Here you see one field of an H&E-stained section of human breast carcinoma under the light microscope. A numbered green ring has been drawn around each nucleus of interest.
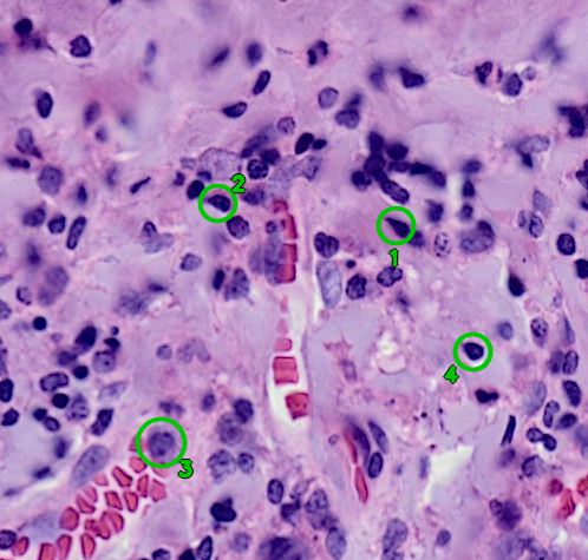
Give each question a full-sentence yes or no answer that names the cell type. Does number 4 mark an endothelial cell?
No, cell 4 is a lymphocyte and should not be called an endothelial cell.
